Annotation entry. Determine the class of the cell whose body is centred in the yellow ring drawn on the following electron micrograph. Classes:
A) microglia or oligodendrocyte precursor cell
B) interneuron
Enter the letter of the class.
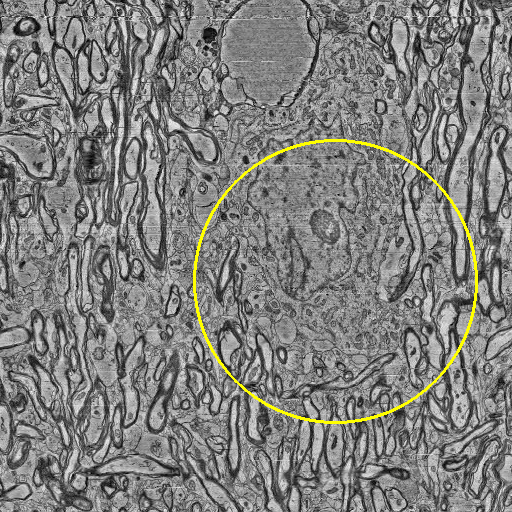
B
